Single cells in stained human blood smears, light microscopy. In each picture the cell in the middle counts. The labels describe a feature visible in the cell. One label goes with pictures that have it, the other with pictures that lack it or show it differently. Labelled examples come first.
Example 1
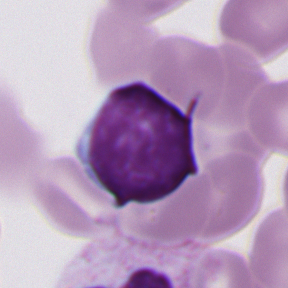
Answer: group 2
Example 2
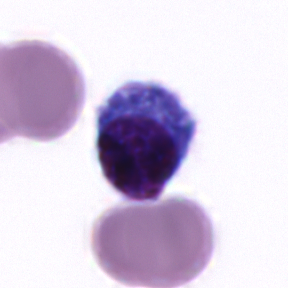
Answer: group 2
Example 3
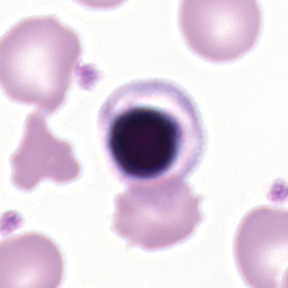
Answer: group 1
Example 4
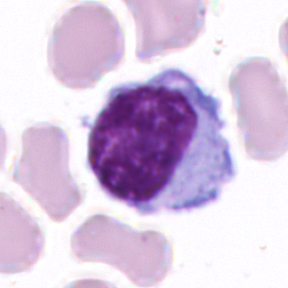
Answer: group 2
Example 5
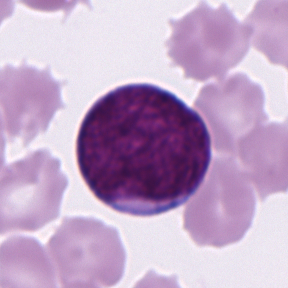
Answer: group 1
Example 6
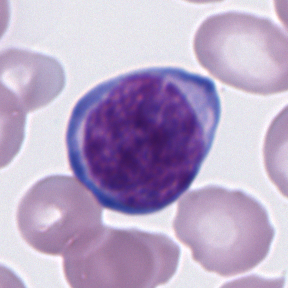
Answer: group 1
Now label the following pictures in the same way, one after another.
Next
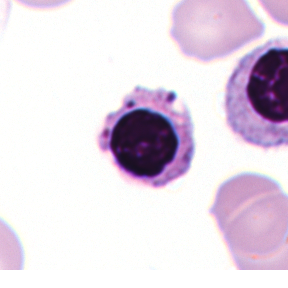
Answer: group 2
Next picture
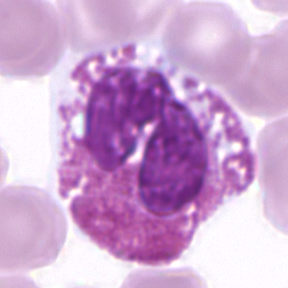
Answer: group 2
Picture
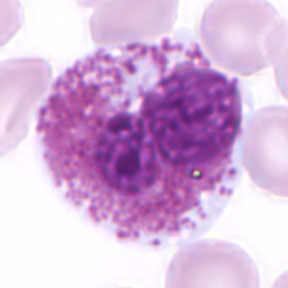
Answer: group 2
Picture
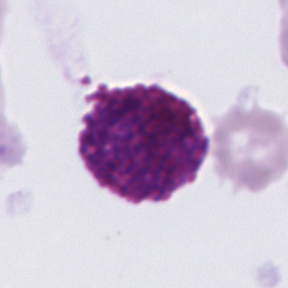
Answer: group 2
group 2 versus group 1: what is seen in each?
In group 2: ragged outline or projections. In group 1: smooth outline.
